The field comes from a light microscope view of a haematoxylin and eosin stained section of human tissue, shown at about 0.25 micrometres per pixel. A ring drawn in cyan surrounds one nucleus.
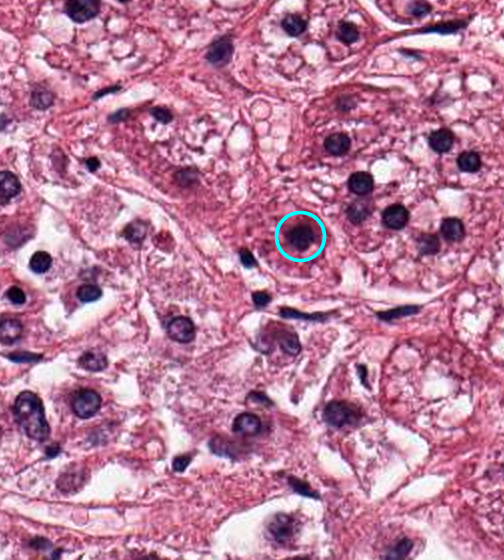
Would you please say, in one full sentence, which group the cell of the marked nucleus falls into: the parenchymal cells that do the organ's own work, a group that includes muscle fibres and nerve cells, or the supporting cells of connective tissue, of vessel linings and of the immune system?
The marked nucleus is housed in a parenchymal cell, namely an adrenal cortical cell.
